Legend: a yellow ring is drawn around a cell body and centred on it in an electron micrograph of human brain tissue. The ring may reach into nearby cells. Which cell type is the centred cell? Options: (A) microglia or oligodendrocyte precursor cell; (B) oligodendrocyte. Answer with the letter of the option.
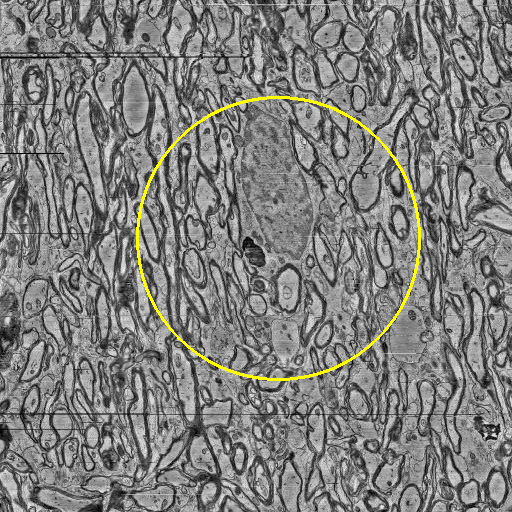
B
